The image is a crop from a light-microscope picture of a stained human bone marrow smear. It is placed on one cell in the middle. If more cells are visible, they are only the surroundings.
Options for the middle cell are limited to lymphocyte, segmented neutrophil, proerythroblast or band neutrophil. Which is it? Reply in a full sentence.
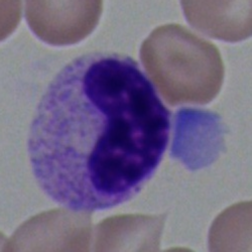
The cell centred in this crop is categorized as a band neutrophil.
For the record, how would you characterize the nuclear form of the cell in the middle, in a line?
Just one compact nuclear mass here, round, oval or kidney-shaped.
